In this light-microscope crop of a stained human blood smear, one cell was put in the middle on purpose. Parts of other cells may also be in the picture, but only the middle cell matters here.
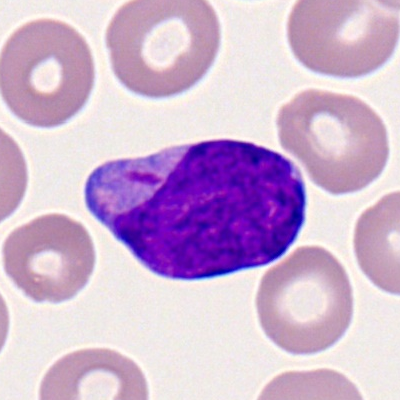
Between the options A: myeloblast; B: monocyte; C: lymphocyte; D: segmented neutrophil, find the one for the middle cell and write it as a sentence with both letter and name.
The expected answer is option A, the central cell being a myeloblast.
